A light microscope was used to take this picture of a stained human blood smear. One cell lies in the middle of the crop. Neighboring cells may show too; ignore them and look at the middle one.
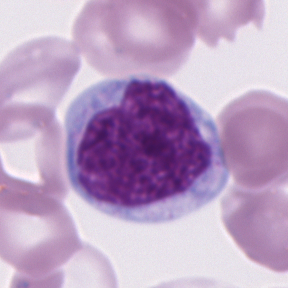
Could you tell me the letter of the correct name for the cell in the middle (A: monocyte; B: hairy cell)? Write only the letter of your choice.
A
